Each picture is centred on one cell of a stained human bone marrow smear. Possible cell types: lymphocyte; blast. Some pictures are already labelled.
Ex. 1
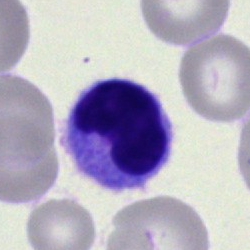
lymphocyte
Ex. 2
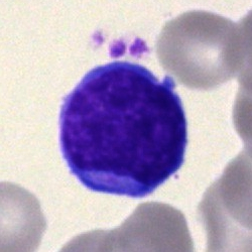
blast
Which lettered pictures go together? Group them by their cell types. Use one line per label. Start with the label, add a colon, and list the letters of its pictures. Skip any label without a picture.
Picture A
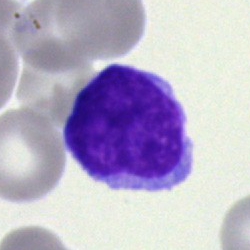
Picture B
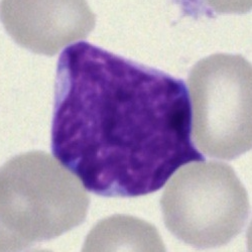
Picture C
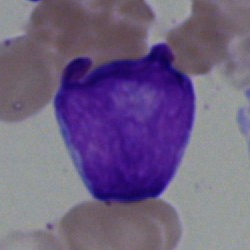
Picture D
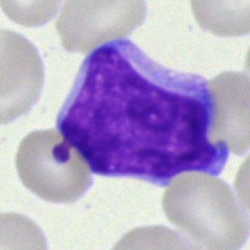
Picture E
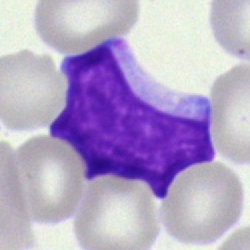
lymphocyte: A
blast: B, C, D, E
